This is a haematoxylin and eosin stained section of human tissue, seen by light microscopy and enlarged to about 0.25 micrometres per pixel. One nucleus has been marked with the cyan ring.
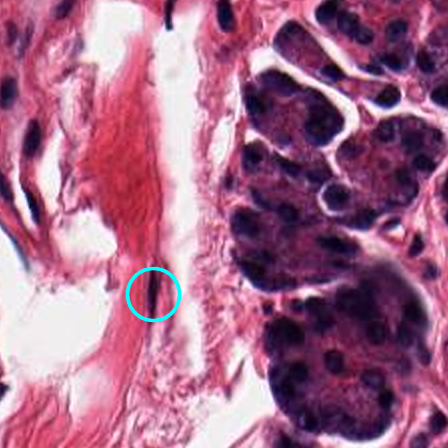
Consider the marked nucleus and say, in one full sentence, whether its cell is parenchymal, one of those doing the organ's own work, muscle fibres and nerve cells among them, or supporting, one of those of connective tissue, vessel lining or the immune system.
As for the marked nucleus, it belongs to a supporting cell.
